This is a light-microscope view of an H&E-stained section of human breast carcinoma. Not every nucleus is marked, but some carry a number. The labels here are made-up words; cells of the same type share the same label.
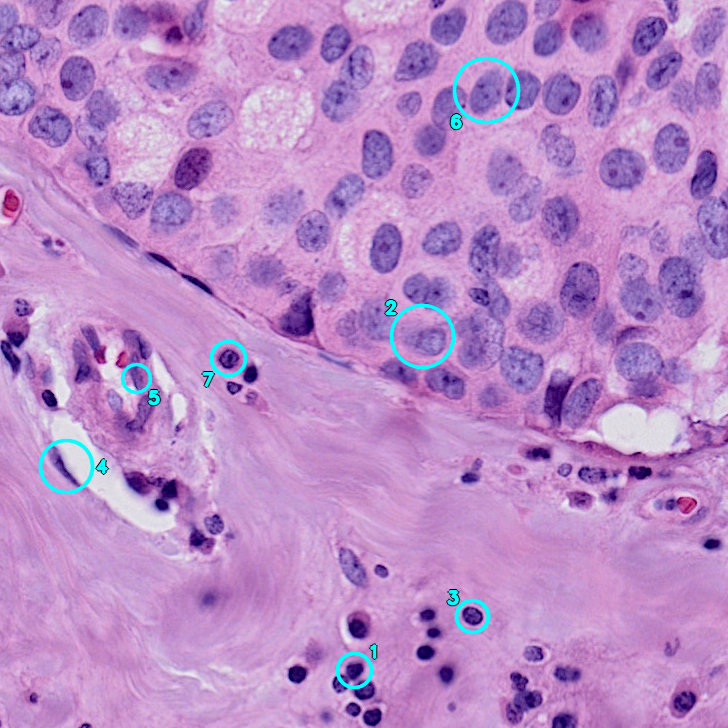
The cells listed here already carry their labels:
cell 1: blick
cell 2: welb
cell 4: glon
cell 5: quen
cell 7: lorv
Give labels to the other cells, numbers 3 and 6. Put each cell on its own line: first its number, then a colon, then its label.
3: blick
6: welb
